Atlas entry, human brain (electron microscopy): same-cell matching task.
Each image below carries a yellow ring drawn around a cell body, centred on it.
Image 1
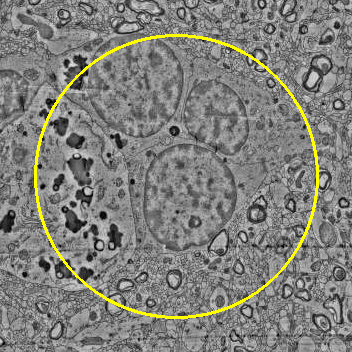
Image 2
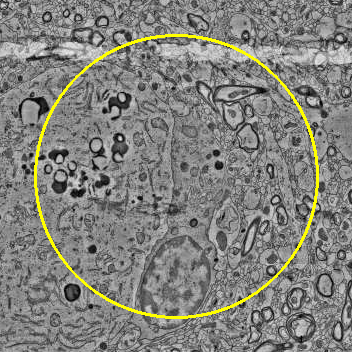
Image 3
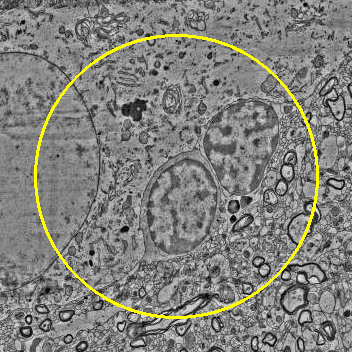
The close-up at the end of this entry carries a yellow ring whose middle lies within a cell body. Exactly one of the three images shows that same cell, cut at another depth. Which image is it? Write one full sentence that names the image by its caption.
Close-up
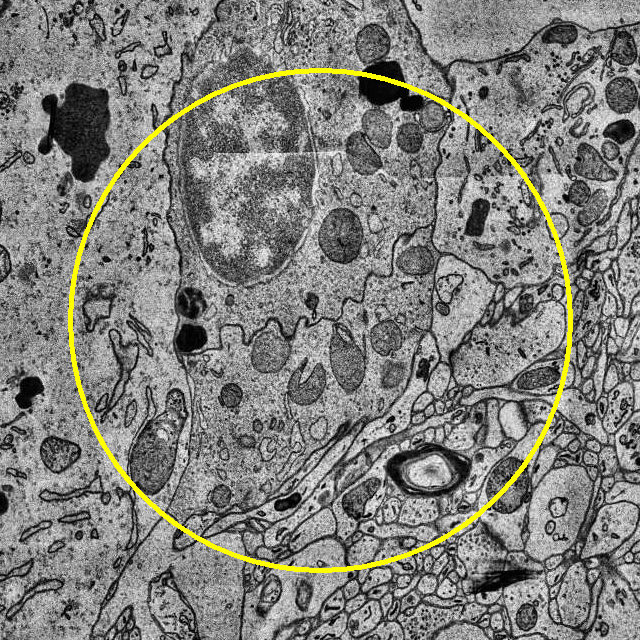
The close-up depicts the ringed cell from Image 3.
